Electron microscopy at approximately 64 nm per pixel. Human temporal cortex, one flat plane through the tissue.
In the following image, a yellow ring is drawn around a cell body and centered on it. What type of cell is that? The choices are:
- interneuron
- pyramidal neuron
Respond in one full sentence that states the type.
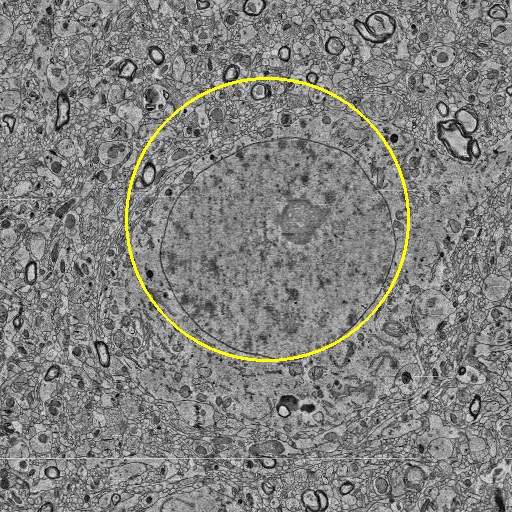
The cell at the center of the yellow ring in the image is a pyramidal neuron.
